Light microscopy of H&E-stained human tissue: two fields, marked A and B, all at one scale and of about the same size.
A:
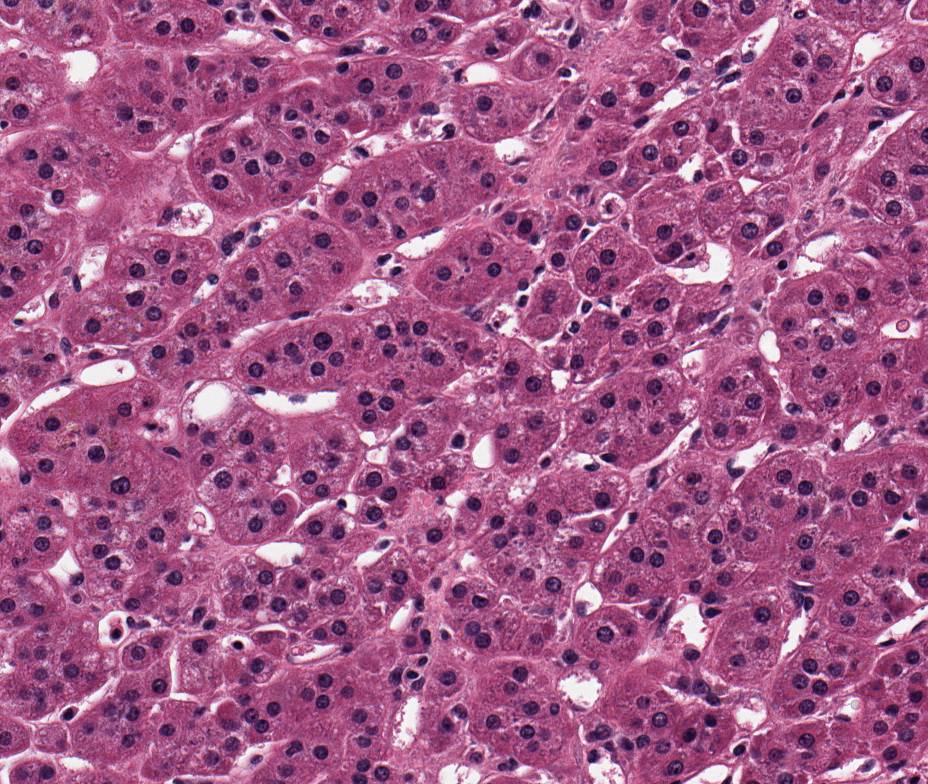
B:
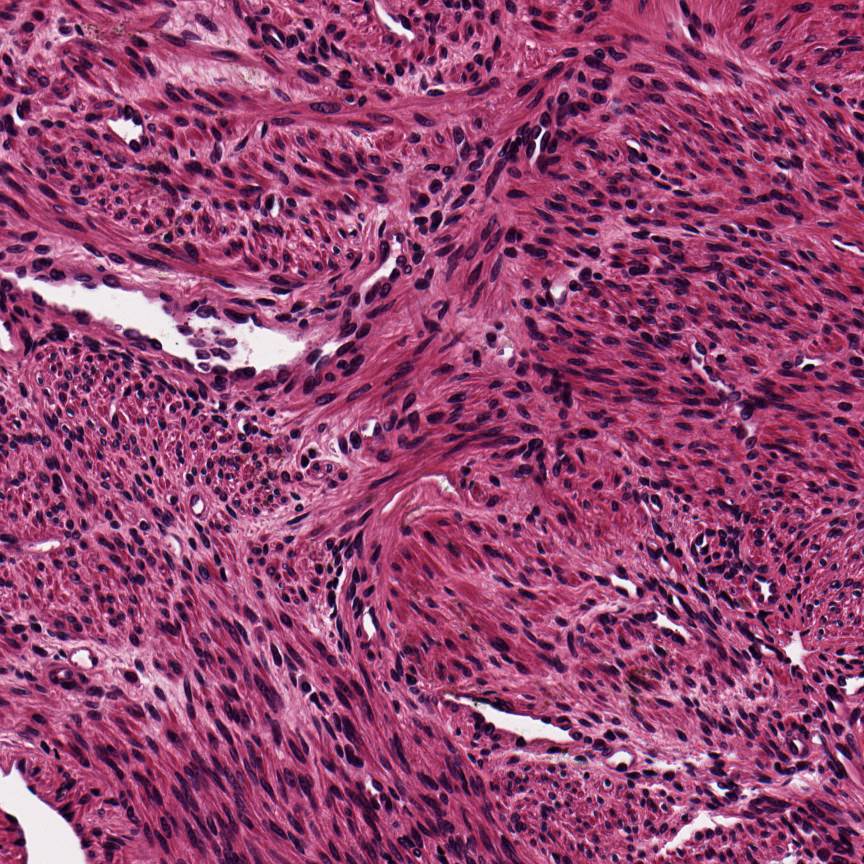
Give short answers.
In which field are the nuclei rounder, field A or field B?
A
